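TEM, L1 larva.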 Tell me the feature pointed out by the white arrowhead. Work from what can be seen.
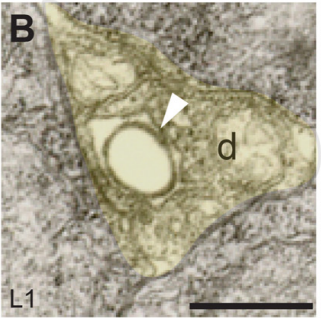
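A pale round lumen sits inside the yellow cell process. A thin dark ring lines the lumen's edge where the arrowhead points. So: cuticle lining of the duct lumen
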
